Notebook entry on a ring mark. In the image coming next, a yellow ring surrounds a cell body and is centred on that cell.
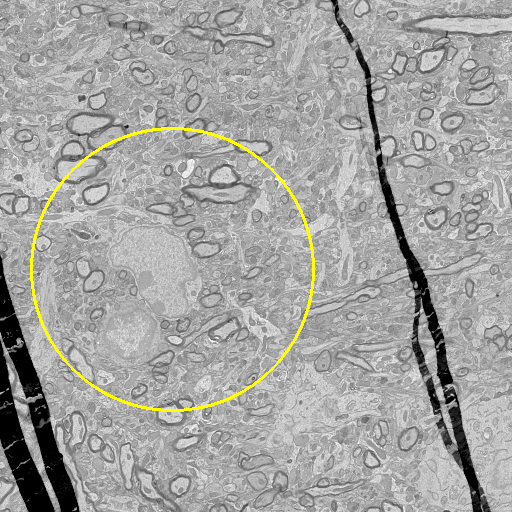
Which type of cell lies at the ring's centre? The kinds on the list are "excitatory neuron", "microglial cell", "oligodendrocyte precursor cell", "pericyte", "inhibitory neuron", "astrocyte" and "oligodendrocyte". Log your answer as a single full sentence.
Centred in the yellow ring is an oligodendrocyte precursor cell, the cell recorded for this image.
